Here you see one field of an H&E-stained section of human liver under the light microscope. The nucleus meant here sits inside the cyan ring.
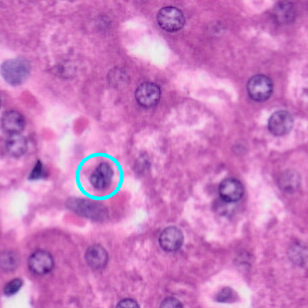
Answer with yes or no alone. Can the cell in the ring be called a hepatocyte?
no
